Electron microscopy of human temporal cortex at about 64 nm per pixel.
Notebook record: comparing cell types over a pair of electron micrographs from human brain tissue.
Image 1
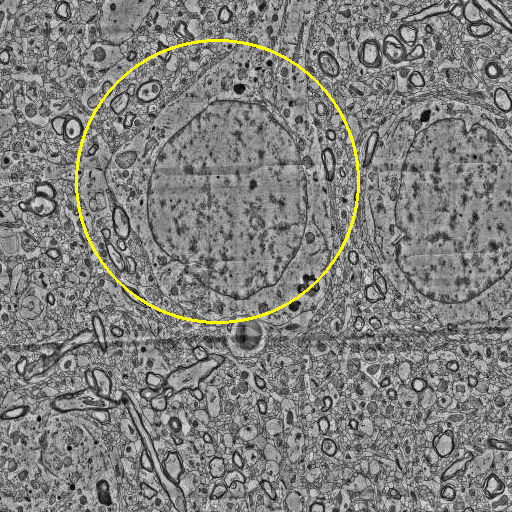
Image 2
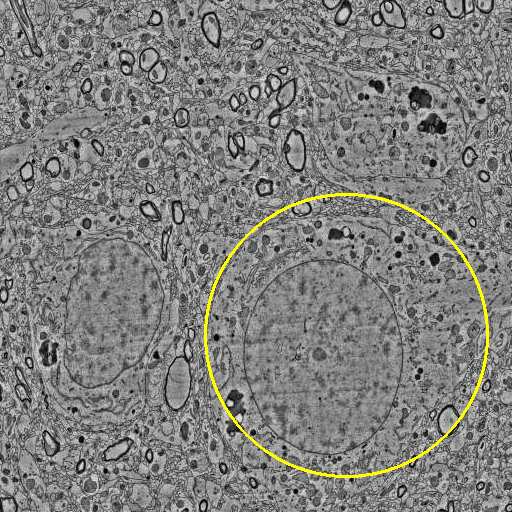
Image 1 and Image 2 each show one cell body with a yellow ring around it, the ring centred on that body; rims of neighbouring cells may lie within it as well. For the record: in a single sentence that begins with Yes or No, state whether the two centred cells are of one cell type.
Yes, one cell type is shared by the centred cells of Image 1 and Image 2.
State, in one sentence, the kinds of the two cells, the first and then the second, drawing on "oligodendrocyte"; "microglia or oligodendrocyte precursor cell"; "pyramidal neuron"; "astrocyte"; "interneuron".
Each cell at the centre of a ring is a pyramidal neuron.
